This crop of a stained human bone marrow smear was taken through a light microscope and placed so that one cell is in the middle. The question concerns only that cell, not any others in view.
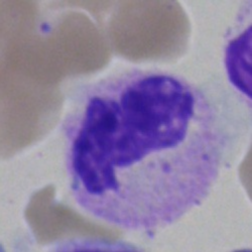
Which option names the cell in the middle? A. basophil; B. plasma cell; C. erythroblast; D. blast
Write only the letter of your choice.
A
